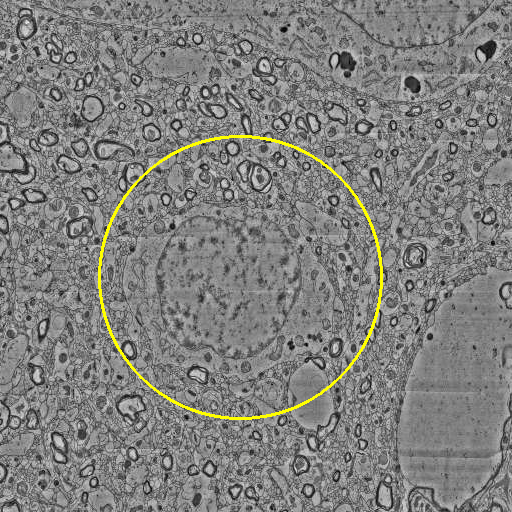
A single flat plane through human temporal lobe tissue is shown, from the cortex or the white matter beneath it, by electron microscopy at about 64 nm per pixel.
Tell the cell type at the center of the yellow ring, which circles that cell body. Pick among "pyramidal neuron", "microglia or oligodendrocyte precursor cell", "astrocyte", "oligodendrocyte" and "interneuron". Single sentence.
The ring is centered on the body of an interneuron.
